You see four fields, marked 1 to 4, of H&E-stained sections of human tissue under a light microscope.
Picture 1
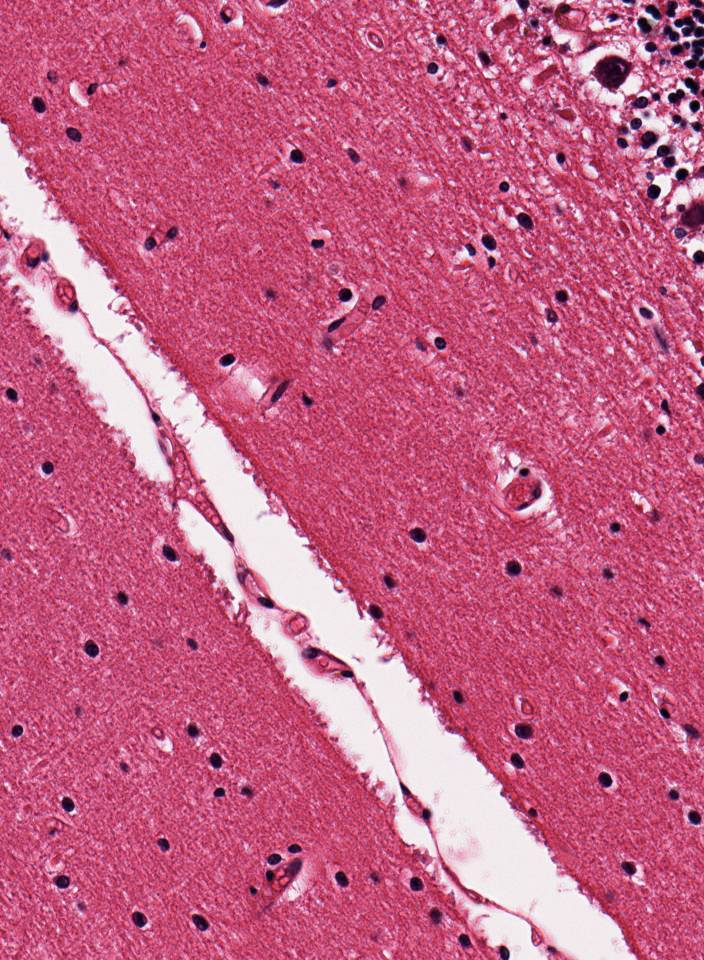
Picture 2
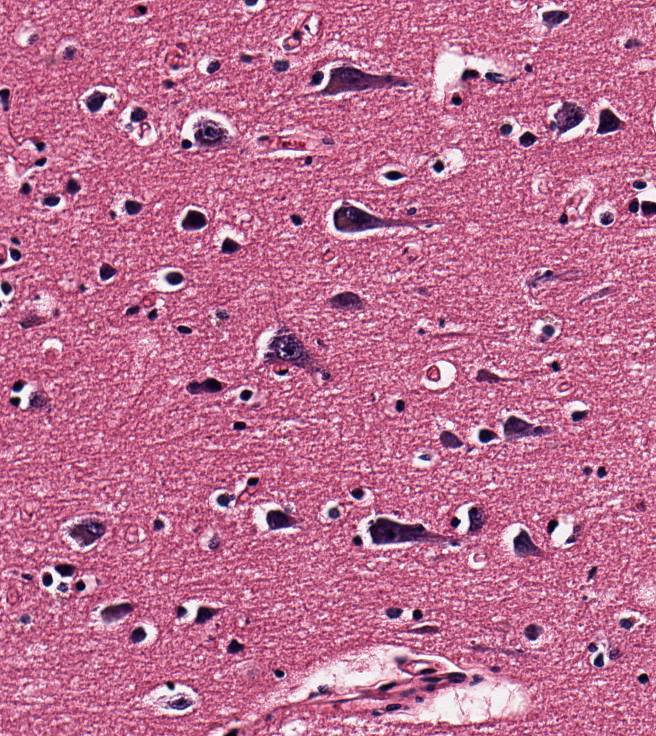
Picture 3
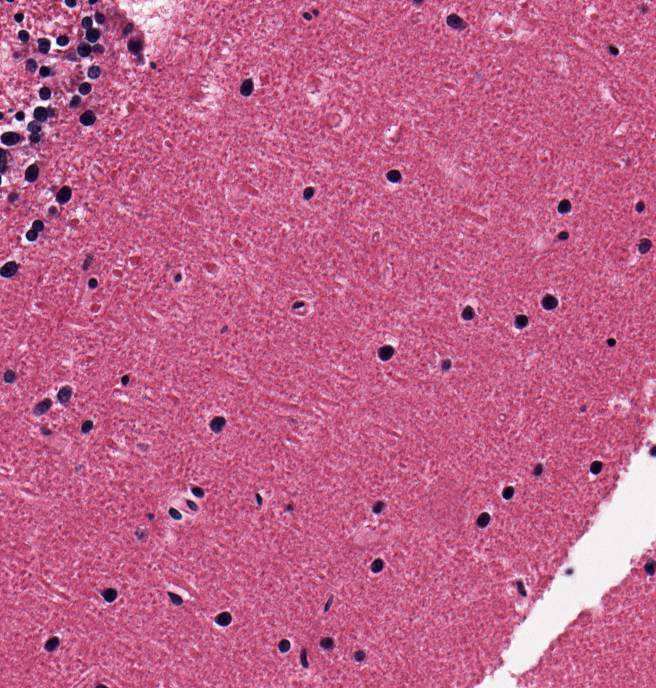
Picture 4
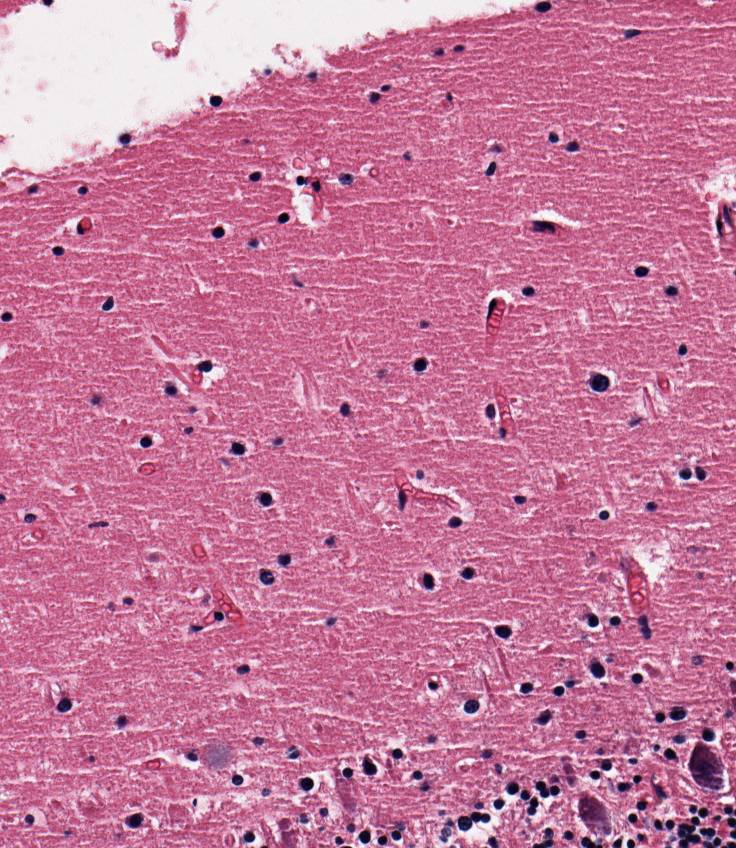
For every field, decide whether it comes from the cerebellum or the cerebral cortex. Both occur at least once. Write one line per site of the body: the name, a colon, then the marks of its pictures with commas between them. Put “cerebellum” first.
cerebellum: 1, 3, 4
cerebral cortex: 2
